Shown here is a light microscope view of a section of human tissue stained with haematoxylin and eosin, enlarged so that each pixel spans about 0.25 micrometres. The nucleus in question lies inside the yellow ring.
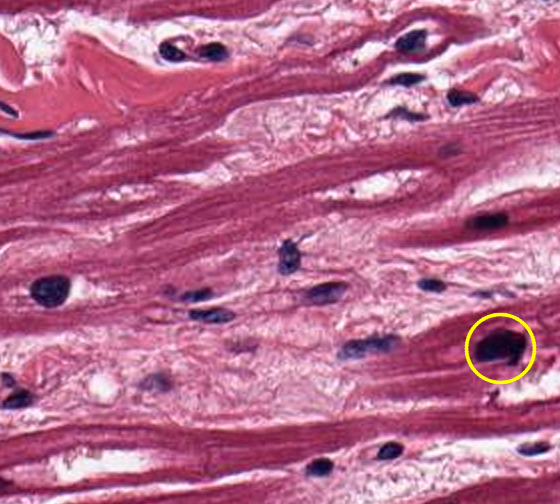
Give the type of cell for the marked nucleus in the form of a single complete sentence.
The marked nucleus is recognized as the nucleus of a cardiomyocyte.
